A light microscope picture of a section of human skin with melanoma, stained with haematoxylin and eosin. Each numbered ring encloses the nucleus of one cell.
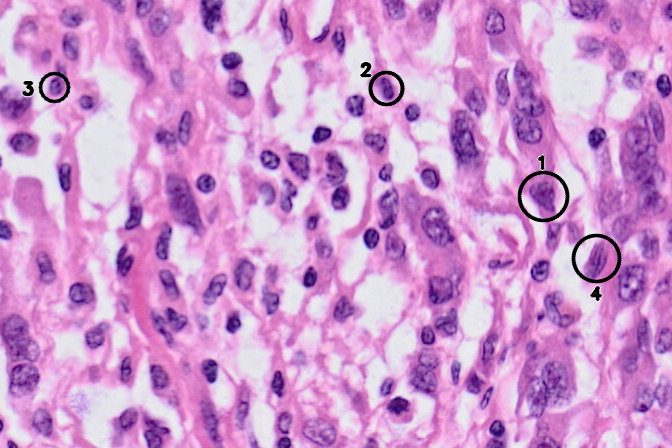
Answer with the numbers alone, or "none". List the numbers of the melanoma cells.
1, 4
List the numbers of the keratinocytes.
none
